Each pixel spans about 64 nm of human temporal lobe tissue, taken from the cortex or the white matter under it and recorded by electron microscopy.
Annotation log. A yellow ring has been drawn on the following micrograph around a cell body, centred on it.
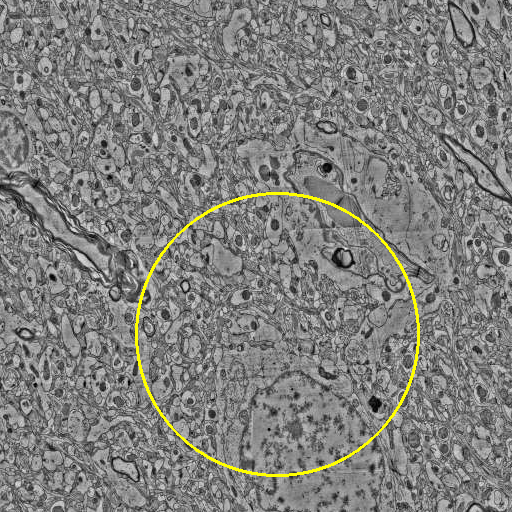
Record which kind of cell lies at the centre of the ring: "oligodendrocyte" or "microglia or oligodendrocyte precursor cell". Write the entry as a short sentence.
The cell the ring is centred on is an oligodendrocyte.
